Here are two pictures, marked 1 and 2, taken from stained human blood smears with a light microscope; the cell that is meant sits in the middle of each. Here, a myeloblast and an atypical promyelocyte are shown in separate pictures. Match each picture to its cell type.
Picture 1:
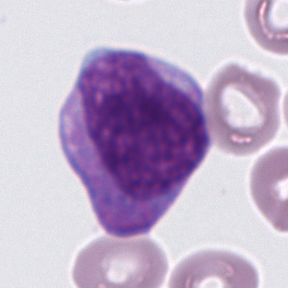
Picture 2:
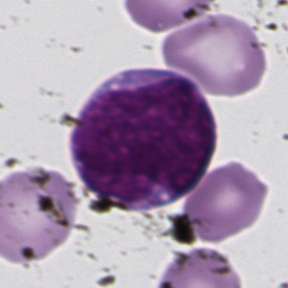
1: atypical promyelocyte
2: myeloblast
